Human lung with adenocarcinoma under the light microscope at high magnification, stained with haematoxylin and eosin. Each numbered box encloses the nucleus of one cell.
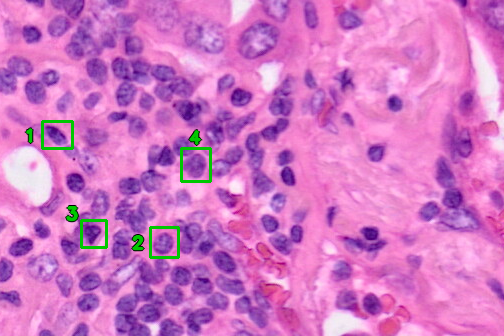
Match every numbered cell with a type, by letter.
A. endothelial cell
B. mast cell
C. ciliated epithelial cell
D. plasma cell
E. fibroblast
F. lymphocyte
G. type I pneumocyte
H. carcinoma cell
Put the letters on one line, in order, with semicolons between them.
F; B; F; F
